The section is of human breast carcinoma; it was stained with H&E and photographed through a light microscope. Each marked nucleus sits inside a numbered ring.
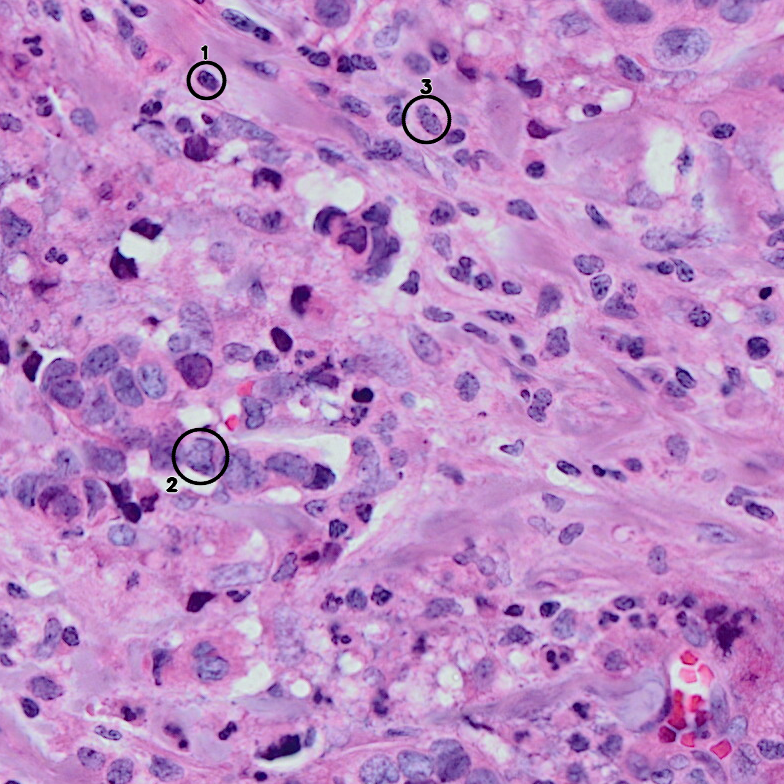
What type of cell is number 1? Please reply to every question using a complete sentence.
The identity of cell 1 is that of a lymphocyte.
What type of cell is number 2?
Cell 2 should be recorded as a carcinoma cell.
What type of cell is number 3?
The nucleus with number 3 is that of a mast cell.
